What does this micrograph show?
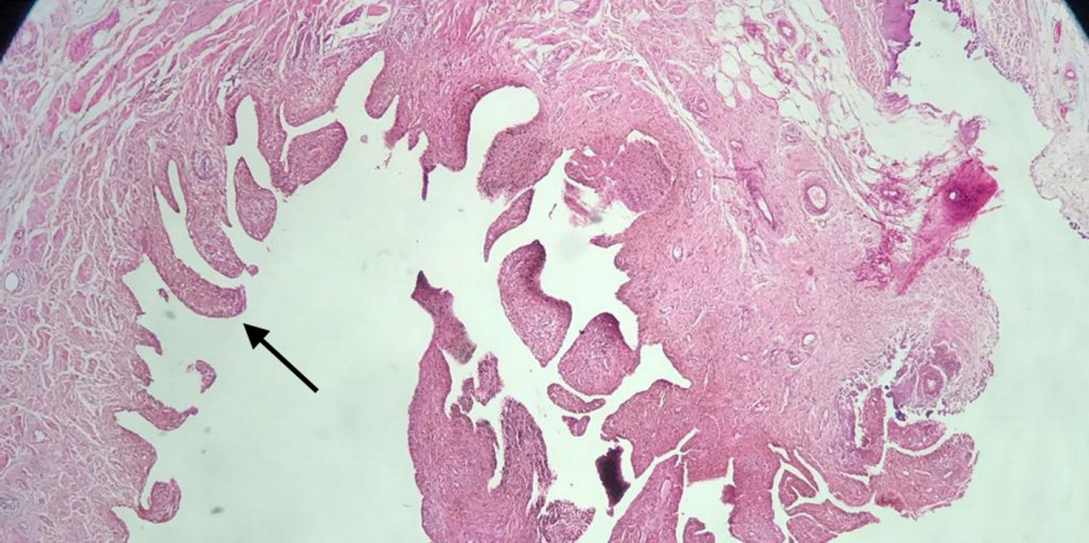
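This low-power view shows a lesion made of many villous and papillary fronds of pink tissue projecting into a large empty space. The fronds are long and finger-like or club-shaped, some cut across so that they appear as separate islands. Their cores are densely cellular, with small vessels scattered within them. Toward the upper edge the tissue is more compact and fibrous, with a small cluster of fat cells. A small, intensely pink, dense focus lies near the right side of the section.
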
